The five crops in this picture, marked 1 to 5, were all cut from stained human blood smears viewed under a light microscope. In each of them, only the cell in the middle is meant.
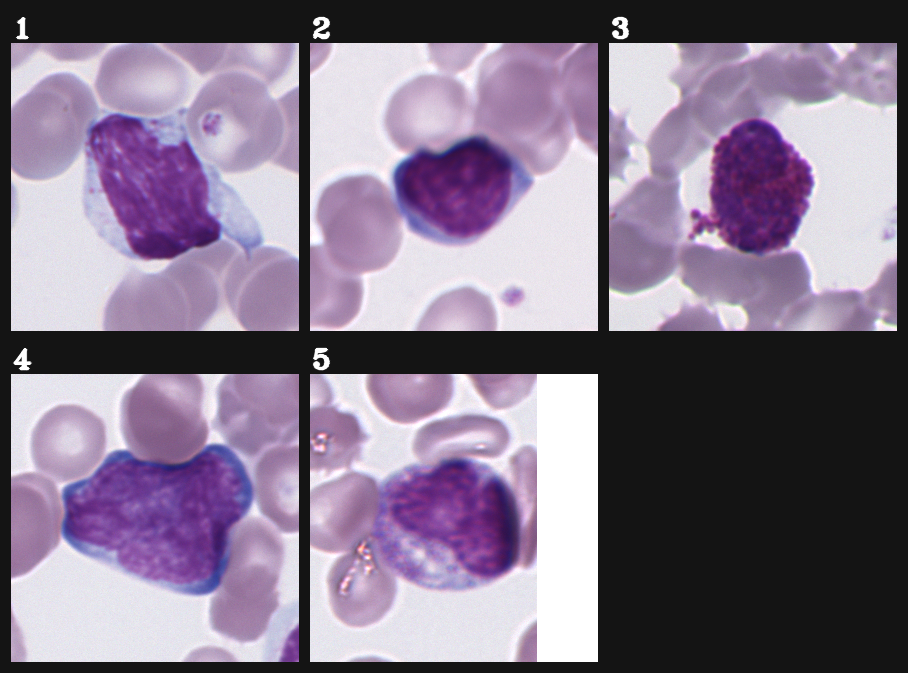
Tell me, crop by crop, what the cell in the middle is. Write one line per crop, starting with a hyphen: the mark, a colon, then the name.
- 1: large granular lymphocyte
- 2: typical lymphocyte
- 3: eosinophil
- 4: myeloblast
- 5: metamyelocyte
